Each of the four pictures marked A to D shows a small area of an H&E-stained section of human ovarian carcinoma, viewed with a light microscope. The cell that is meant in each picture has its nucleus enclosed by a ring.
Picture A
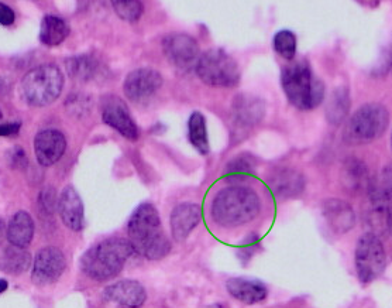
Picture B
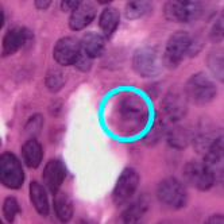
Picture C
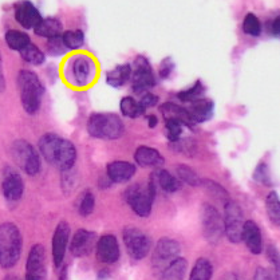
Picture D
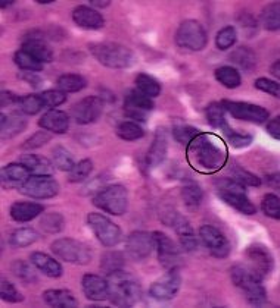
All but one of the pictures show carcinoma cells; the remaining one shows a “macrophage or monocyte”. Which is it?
C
